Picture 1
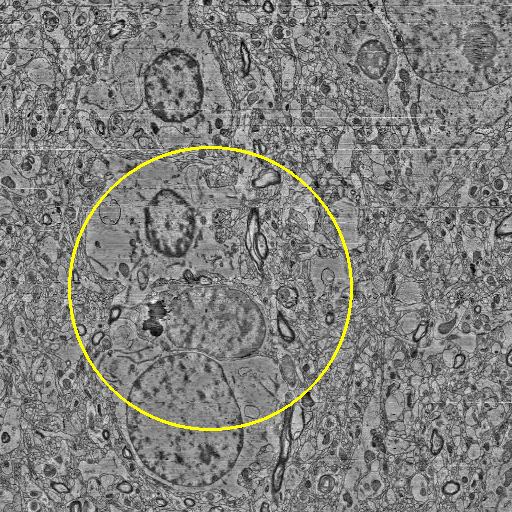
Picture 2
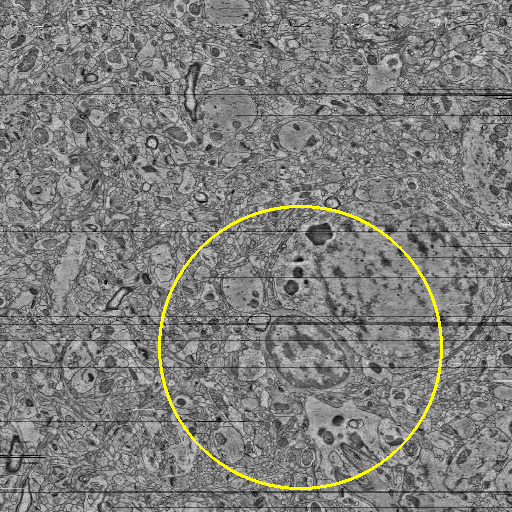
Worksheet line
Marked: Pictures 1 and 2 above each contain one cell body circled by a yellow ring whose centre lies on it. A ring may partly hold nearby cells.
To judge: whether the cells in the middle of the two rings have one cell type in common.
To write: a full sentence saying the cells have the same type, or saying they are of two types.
The cells in the middle of the rings in Picture 1 and Picture 2 have the same type.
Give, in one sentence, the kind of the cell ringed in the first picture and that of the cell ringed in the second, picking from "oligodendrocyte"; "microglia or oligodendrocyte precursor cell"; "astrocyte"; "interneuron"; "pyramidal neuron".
In each of the two pictures, the ringed cell is an oligodendrocyte.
